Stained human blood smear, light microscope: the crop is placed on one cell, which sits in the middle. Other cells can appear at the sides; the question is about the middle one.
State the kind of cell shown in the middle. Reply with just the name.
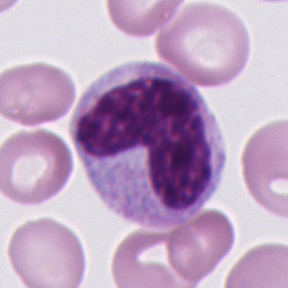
band neutrophil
